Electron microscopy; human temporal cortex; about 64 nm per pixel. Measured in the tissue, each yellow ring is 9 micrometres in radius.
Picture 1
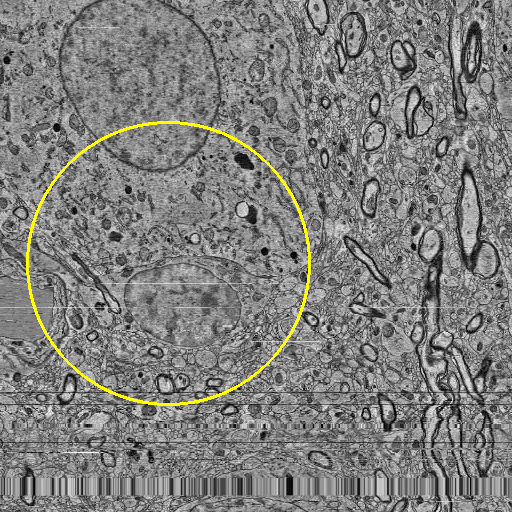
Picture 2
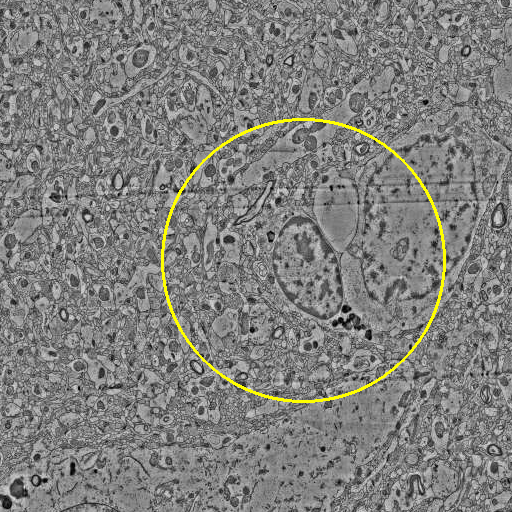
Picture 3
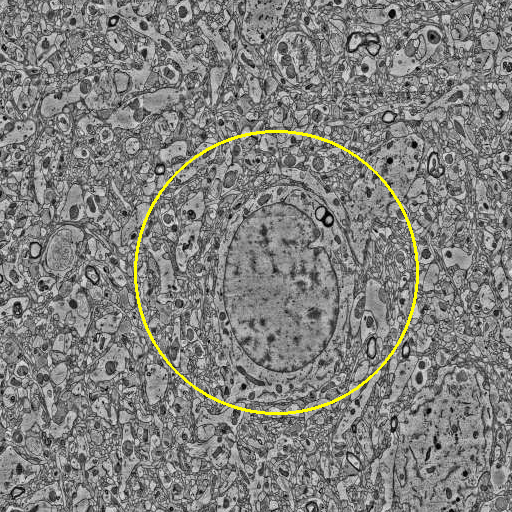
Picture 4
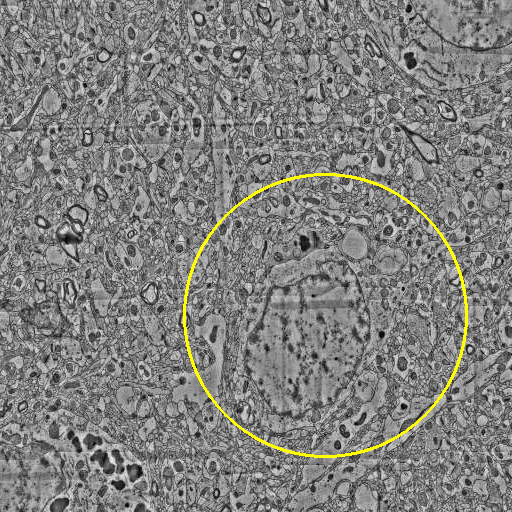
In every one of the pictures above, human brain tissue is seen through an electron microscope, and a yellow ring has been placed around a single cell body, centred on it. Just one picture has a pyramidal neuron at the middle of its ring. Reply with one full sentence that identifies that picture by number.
It is picture 3 that shows the wanted cell at its ring's centre.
